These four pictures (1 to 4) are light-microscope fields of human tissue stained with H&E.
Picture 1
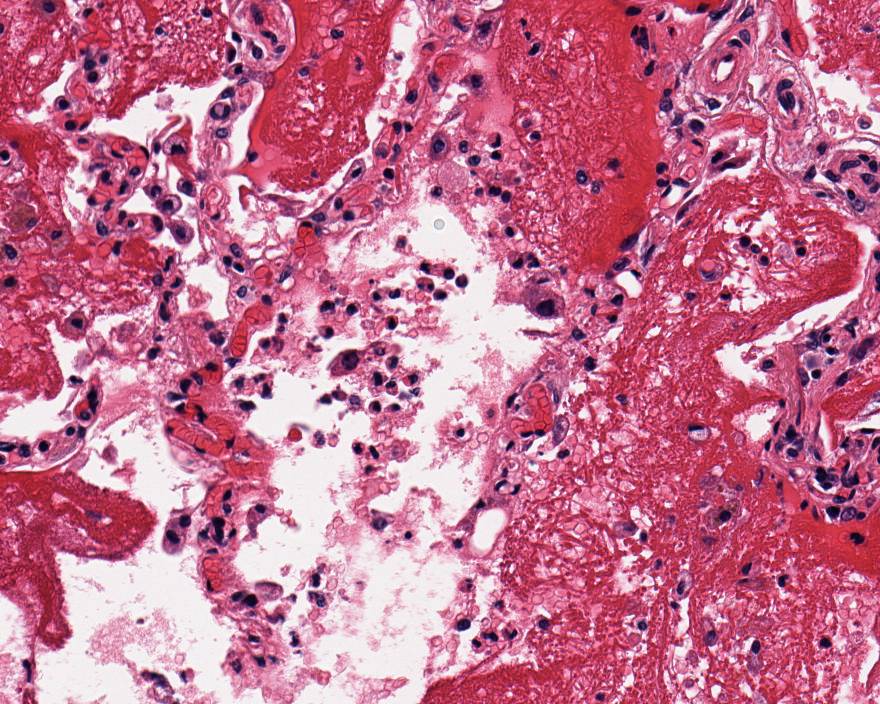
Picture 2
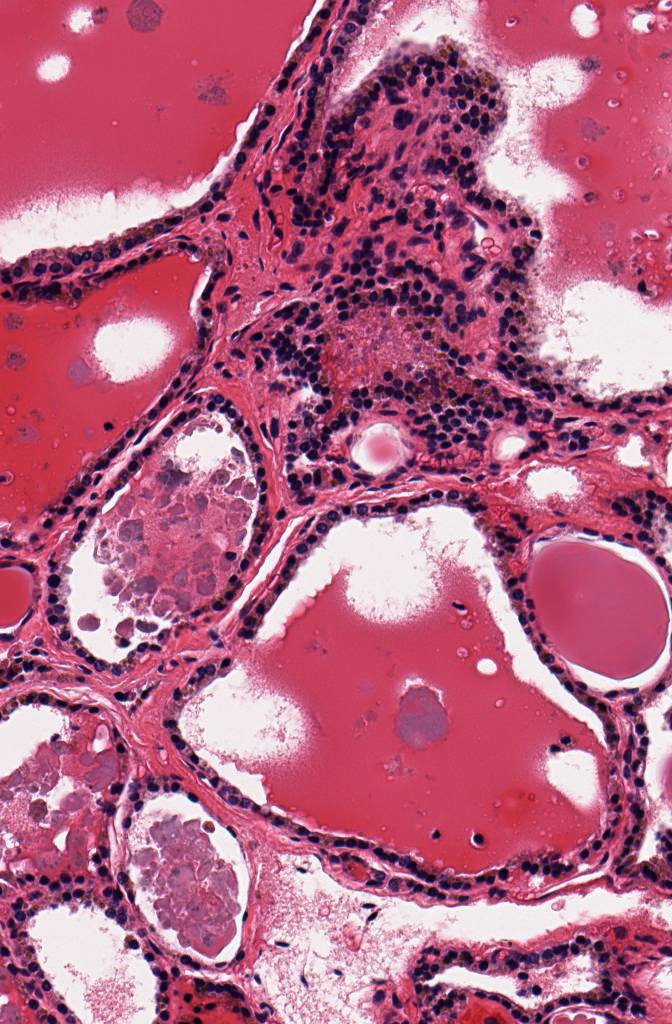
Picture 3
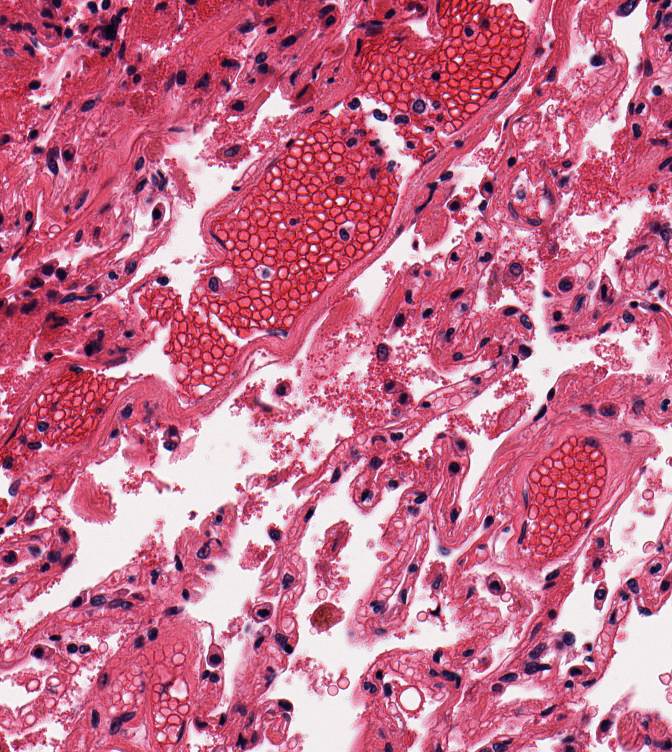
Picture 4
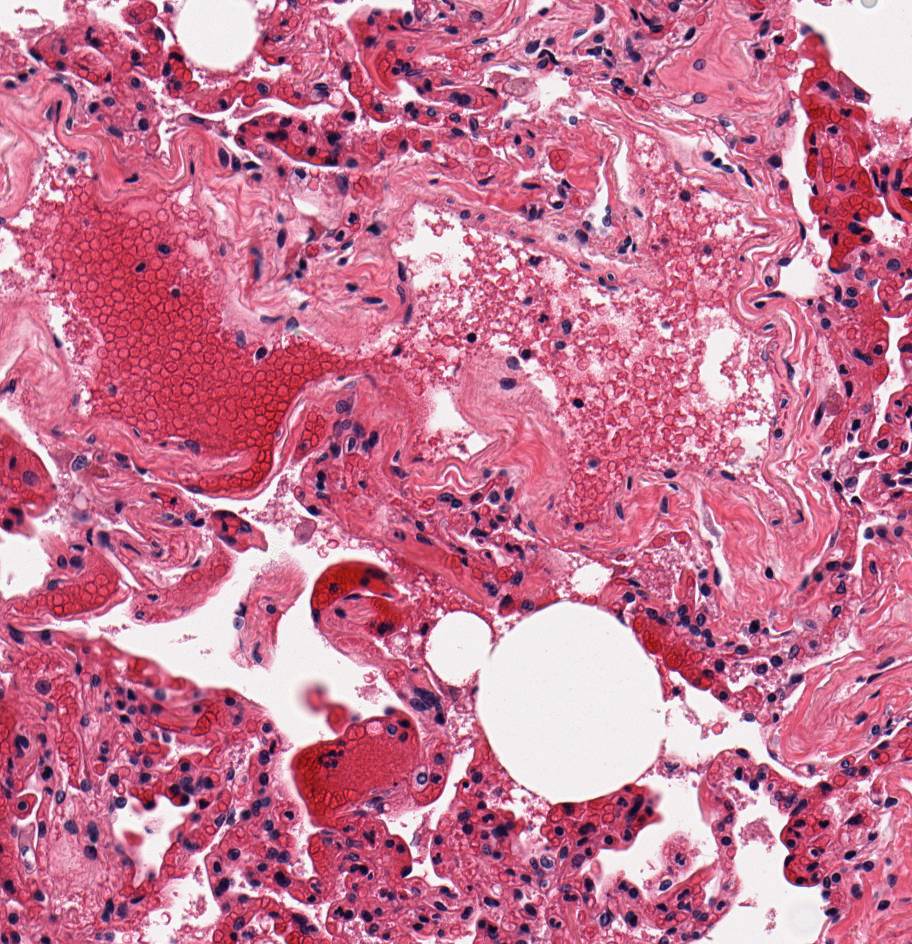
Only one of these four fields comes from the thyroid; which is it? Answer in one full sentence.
The one that comes from the thyroid is picture 2.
